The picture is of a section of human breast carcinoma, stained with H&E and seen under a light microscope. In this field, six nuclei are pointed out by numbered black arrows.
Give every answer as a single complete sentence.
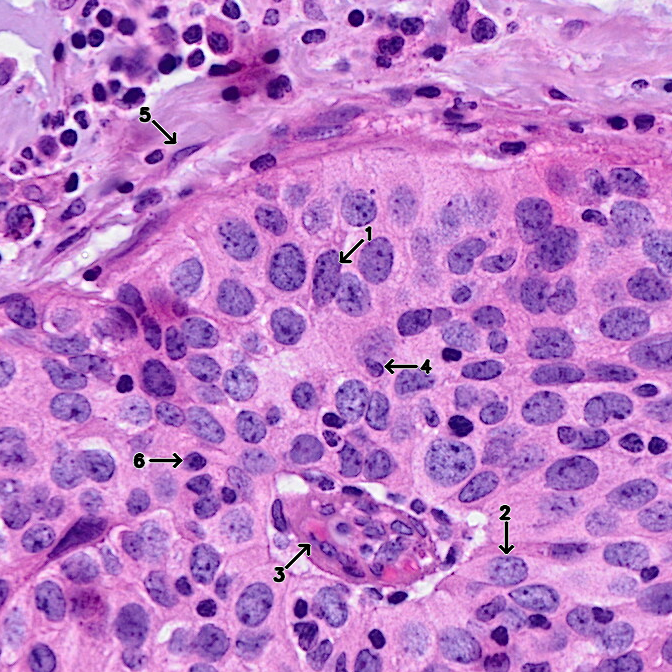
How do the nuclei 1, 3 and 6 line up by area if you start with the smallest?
From smallest to largest, the order is 3, 6, 1.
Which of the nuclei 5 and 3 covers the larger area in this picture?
Nucleus 5 is larger, with an area about 1.5 times that of nucleus 3.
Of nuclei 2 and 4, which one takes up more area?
Of the two, number 2 is bigger and takes up about 4 times the area of number 4.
